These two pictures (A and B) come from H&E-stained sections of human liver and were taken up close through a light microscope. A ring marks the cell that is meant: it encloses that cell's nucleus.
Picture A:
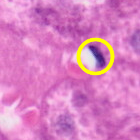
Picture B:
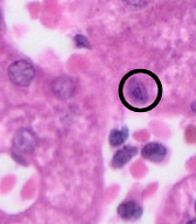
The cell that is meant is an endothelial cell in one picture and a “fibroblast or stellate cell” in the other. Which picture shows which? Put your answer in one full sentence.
It is picture A that shows an endothelial cell, and picture B that shows a “fibroblast or stellate cell”.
